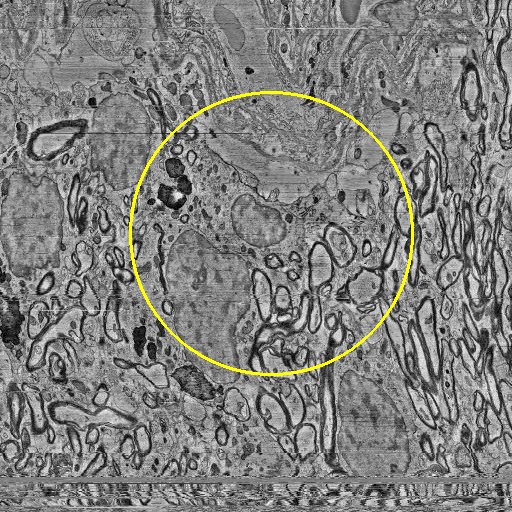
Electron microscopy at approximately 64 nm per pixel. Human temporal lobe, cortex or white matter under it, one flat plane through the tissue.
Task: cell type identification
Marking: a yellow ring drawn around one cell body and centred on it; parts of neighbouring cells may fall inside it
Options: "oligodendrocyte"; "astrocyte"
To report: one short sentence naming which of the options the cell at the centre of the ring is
The cell at the centre of the ring is an oligodendrocyte.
